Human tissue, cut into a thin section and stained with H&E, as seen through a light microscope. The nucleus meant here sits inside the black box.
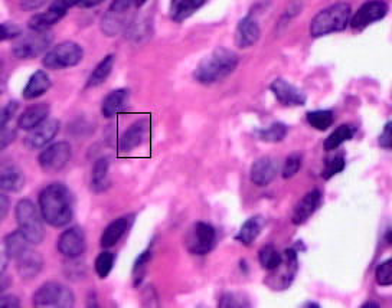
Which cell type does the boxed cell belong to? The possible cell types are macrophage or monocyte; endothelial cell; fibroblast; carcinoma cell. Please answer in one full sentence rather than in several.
In this preparation, the boxed cell is an endothelial cell.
